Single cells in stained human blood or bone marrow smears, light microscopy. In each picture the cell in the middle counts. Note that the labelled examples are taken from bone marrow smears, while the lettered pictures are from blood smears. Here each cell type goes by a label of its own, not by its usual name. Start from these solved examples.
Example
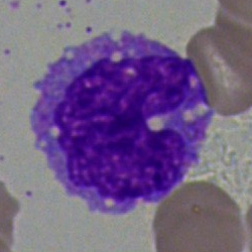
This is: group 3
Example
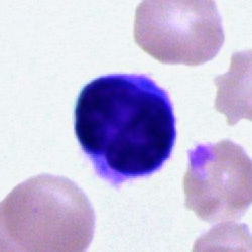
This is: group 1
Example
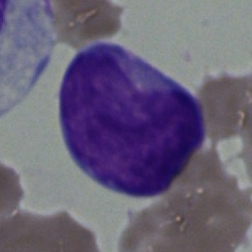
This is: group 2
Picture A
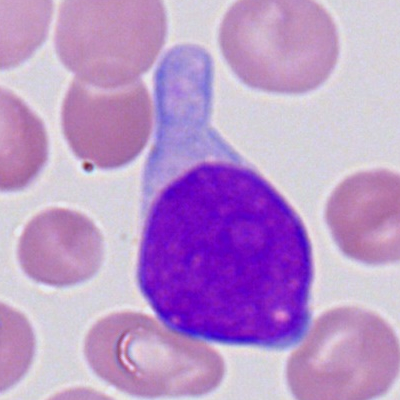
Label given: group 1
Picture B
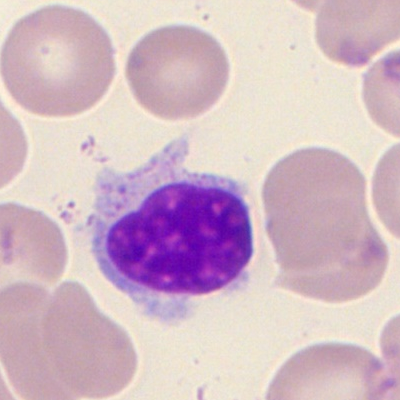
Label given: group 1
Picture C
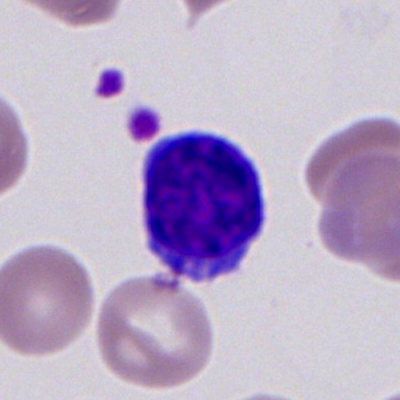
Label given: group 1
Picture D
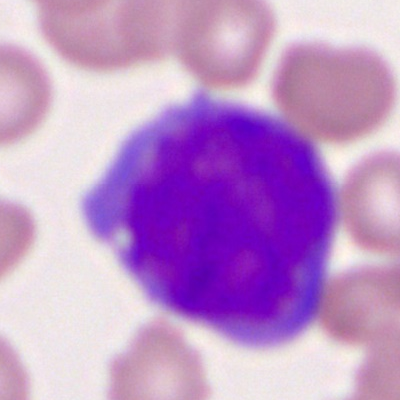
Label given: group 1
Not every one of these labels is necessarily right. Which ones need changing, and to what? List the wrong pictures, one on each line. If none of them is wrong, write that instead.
Wrong: A (group 1); correct: group 2
Wrong: D (group 1); correct: group 2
